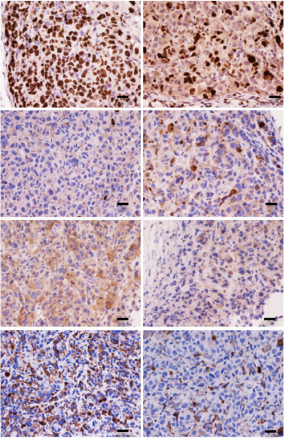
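Grid of eight fields of solid sheets of tumor cells, brown chromogen with blue nuclear counterstain. In the lower rows the tumor cells have round to oval blue nuclei with variable brown cytoplasmic staining, weaker in several right-hand fields. The cells are closely packed without visible glands or layers.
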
